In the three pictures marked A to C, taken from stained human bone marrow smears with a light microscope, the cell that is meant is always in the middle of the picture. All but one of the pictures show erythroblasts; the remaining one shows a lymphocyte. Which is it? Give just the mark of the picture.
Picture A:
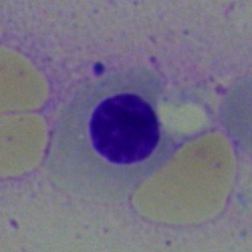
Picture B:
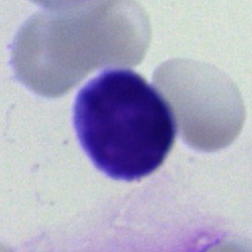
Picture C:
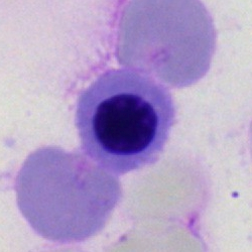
B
